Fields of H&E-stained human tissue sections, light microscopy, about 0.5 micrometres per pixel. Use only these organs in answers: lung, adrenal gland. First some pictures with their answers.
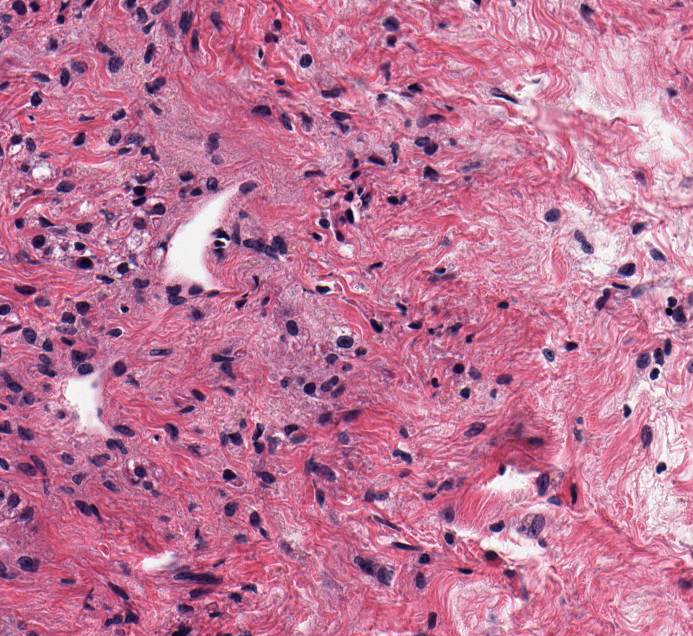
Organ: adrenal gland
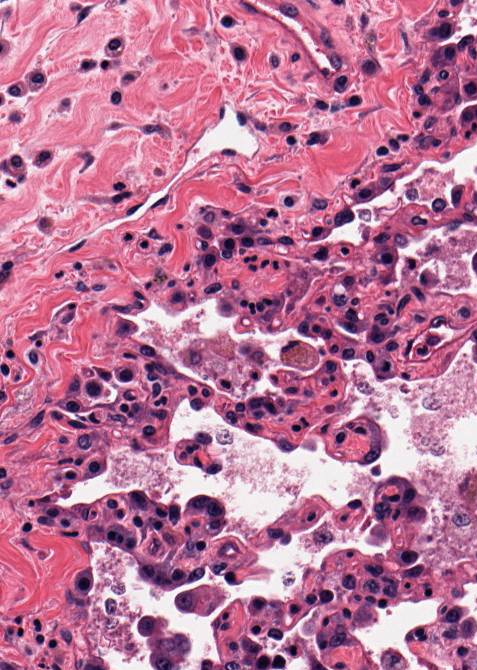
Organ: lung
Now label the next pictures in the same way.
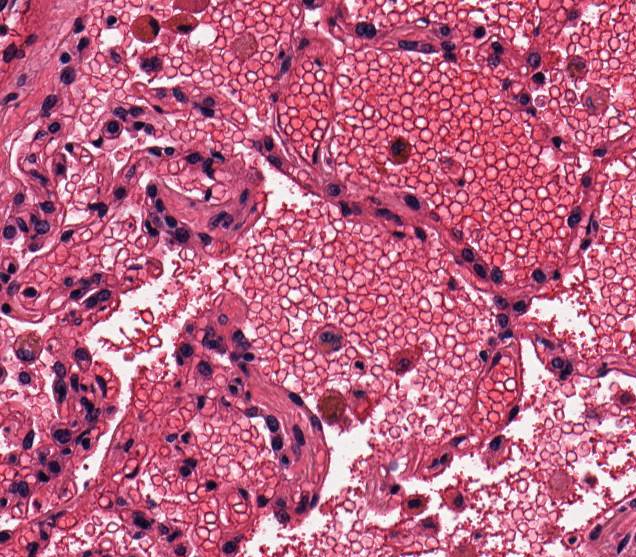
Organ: lung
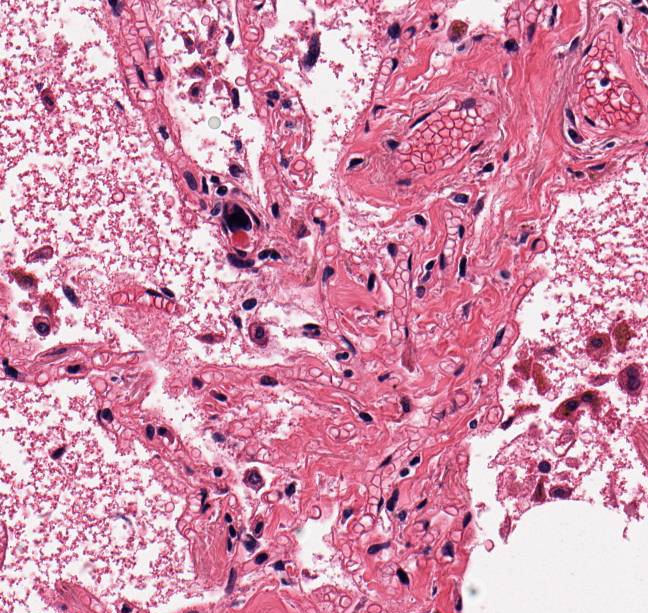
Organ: lung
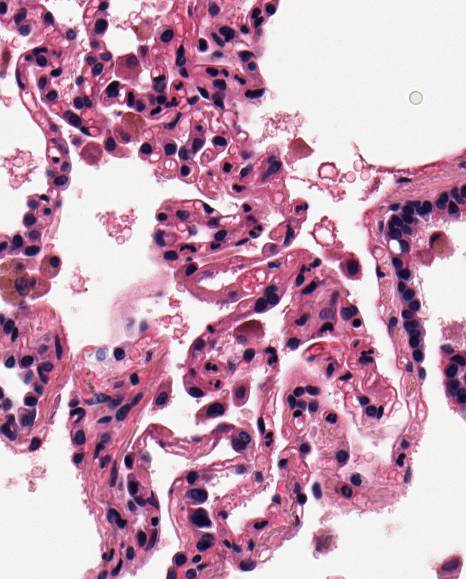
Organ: lung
